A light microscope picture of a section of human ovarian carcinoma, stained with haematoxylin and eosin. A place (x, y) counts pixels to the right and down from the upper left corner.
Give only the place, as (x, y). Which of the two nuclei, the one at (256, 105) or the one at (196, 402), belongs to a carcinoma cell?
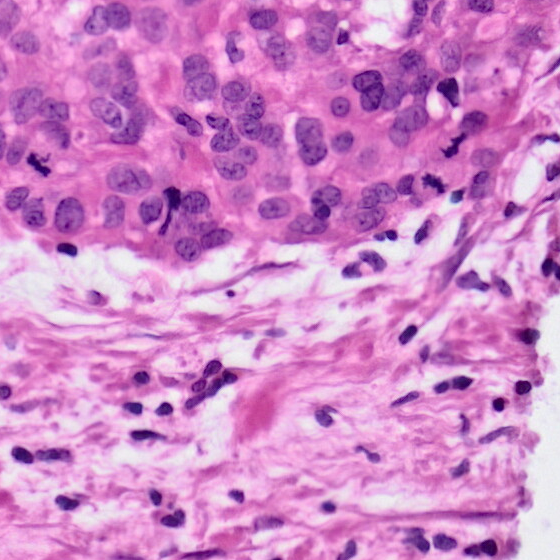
(256, 105)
